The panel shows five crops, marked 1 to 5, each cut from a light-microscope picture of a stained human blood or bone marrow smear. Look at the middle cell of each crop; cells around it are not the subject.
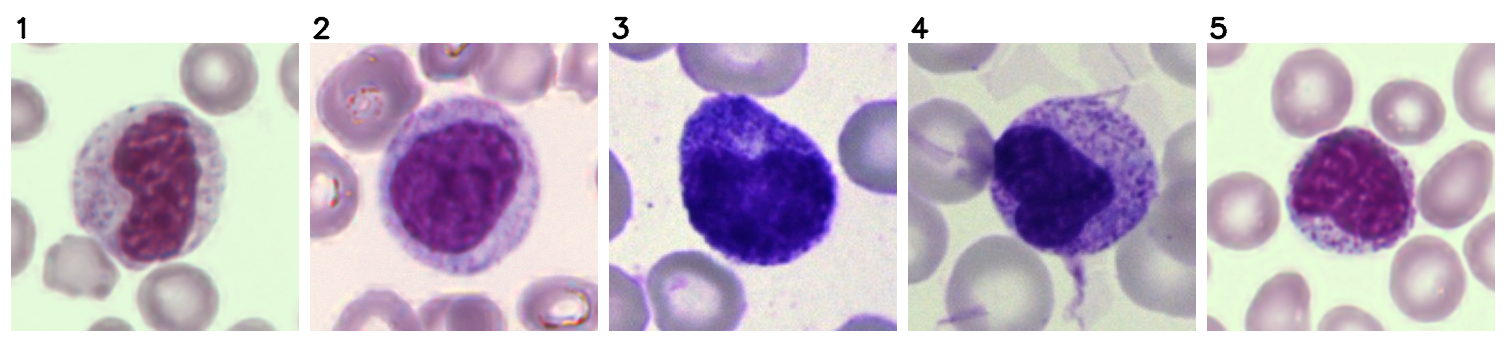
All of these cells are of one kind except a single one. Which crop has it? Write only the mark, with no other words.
2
